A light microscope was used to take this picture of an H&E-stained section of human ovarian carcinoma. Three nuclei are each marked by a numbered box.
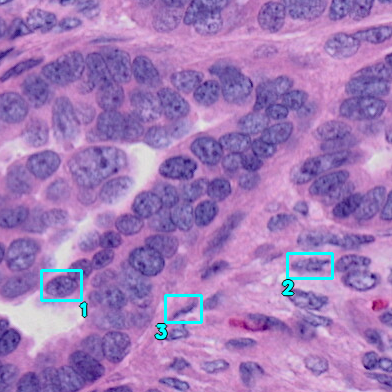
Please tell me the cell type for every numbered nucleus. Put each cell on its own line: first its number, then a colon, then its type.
1: carcinoma cell
2: fibroblast
3: fibroblast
